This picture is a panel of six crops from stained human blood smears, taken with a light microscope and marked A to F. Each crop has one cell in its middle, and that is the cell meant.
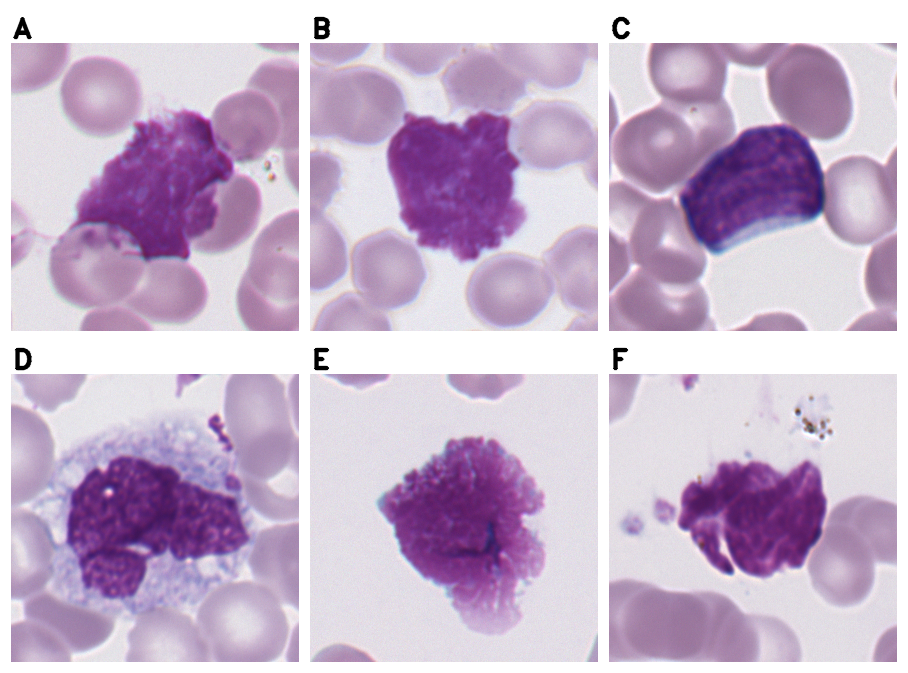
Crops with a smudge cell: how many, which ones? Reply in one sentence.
Seen in four crops, A, B, E and F, are smudge cells.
